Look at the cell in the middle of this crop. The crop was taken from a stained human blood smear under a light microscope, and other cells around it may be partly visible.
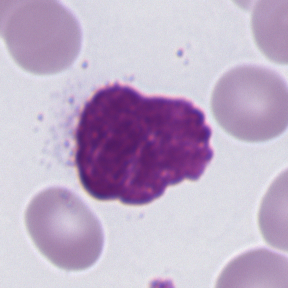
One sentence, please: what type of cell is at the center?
This particular crop is centered on a smudge cell.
